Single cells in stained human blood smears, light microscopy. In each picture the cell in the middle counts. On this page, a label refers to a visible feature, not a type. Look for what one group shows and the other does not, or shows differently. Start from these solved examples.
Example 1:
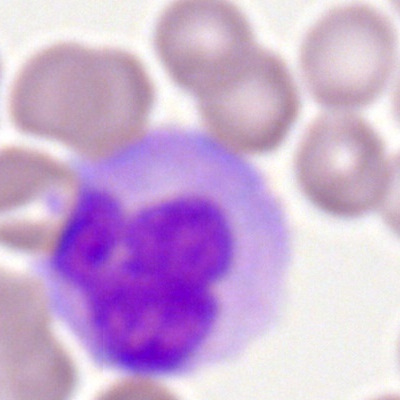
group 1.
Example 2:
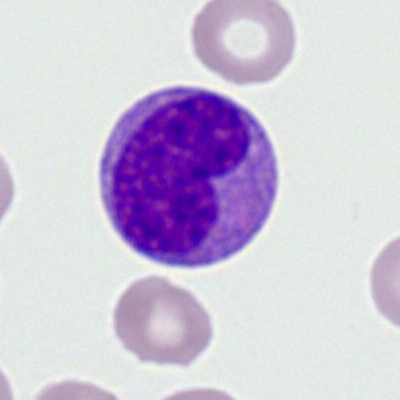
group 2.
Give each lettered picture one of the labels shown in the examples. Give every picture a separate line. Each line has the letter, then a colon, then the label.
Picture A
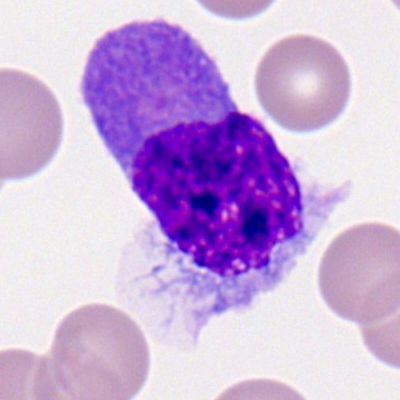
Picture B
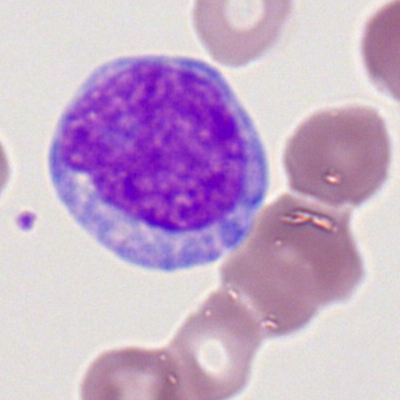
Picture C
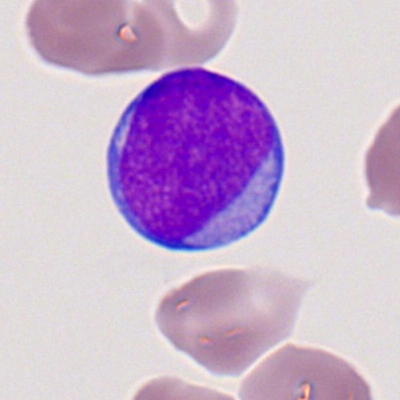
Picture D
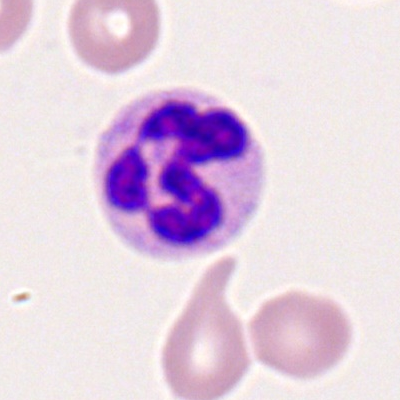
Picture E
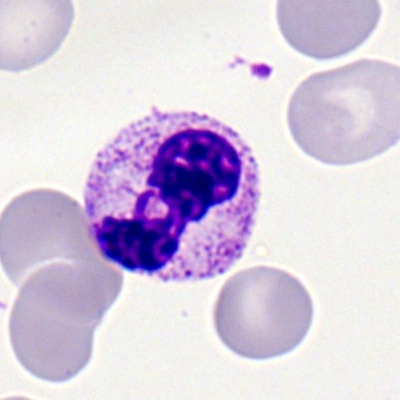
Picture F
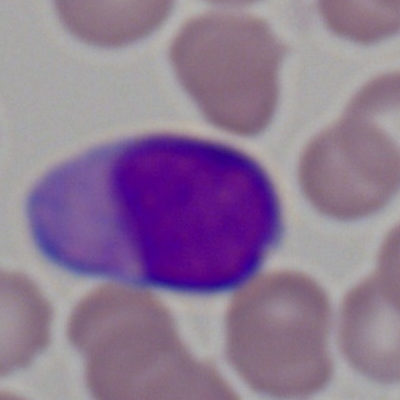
A: group 2.
B: group 2.
C: group 2.
D: group 1.
E: group 1.
F: group 2.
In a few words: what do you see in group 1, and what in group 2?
group 1: lobed nucleus; group 2: single compact nucleus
